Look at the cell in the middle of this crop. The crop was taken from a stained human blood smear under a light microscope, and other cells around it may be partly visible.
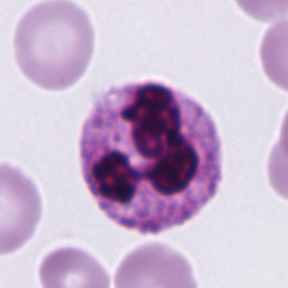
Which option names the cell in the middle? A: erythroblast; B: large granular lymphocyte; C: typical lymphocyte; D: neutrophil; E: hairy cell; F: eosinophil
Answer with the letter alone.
D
